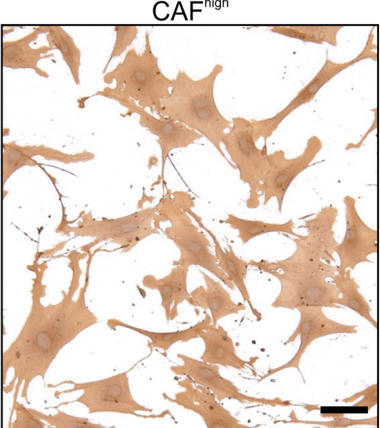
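A sparse monolayer of cultured cells in which nearly every cell is filled with an intense brown stain. The cells are large and flat, with irregular, star-like or polygonal outlines and several broad or tapering extensions that reach toward neighbouring cells; some thin, threadlike processes stretch across the white background between them. Each cell holds a single oval nucleus, visible as a paler rounded area within the brown cytoplasm rather than as a strongly blue body. The cells lie partly apart, leaving wide unstained gaps of empty background.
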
